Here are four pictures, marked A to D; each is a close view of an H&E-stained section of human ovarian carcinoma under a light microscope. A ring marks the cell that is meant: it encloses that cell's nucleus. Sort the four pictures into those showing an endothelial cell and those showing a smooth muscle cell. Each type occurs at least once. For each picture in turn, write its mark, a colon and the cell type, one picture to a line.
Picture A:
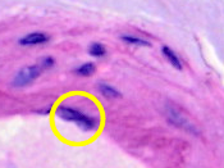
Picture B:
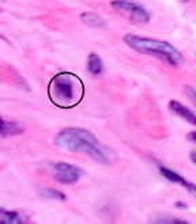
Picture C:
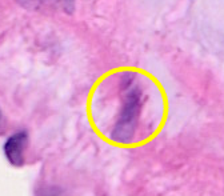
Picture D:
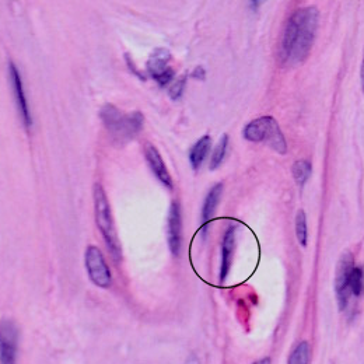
A: endothelial cell
B: smooth muscle cell
C: smooth muscle cell
D: endothelial cell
